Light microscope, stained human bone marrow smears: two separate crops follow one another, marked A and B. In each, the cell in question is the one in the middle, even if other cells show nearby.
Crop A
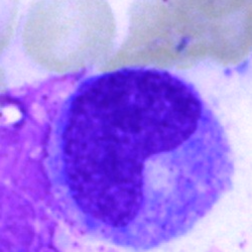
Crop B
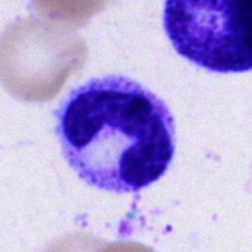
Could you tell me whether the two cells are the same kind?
no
